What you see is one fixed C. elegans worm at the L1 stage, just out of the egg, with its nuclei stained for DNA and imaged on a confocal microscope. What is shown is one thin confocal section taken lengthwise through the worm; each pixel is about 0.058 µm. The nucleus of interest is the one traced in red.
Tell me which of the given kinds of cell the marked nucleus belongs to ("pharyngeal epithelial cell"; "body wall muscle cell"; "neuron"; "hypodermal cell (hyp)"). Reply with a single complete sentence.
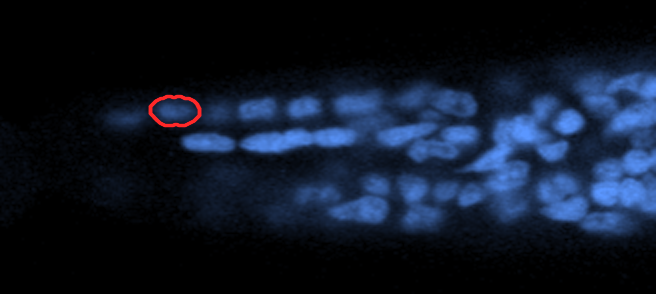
The marked nucleus belongs to a hypodermal cell (hyp).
